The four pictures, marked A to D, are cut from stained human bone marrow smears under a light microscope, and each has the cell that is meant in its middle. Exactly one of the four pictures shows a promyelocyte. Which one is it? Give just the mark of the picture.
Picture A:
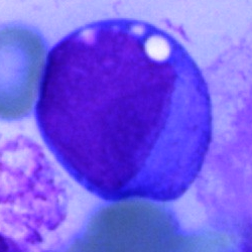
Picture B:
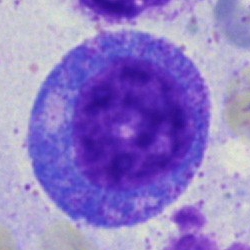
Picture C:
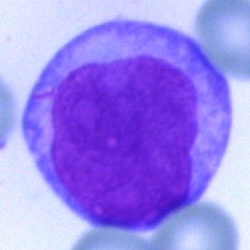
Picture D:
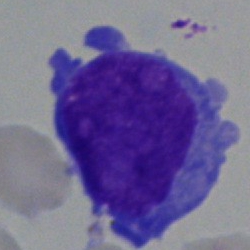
B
